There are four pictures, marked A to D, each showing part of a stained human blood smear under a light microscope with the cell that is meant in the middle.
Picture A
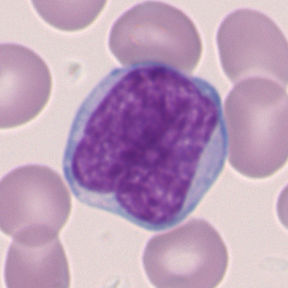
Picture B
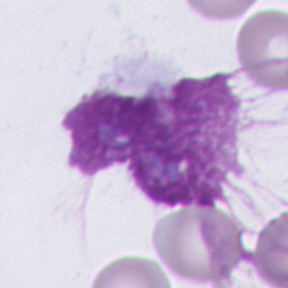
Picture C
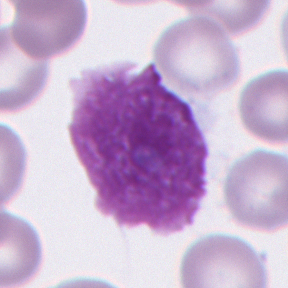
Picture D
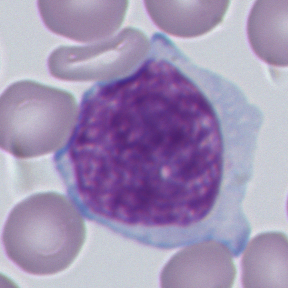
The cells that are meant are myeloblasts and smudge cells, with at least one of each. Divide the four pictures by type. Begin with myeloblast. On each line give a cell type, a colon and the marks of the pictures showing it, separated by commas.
myeloblast: A, D
smudge cell: B, C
